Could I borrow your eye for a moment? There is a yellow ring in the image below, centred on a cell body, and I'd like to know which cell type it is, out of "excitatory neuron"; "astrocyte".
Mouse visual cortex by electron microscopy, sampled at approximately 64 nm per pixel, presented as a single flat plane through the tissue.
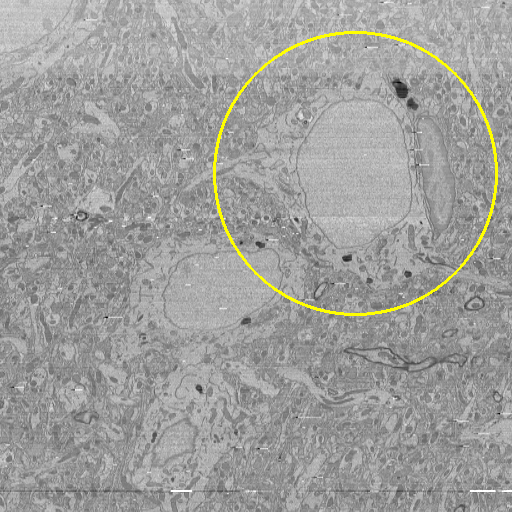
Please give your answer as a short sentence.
The cell body at the centre is that of an excitatory neuron.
